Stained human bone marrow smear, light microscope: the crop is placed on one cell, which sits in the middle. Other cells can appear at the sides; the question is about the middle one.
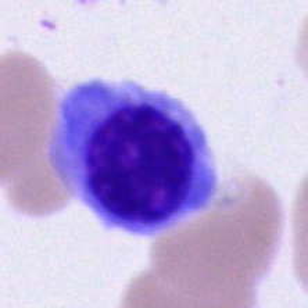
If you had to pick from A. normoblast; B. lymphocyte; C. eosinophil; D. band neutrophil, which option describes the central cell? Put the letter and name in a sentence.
The cell placed in the middle is a normoblast; option A is correct.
